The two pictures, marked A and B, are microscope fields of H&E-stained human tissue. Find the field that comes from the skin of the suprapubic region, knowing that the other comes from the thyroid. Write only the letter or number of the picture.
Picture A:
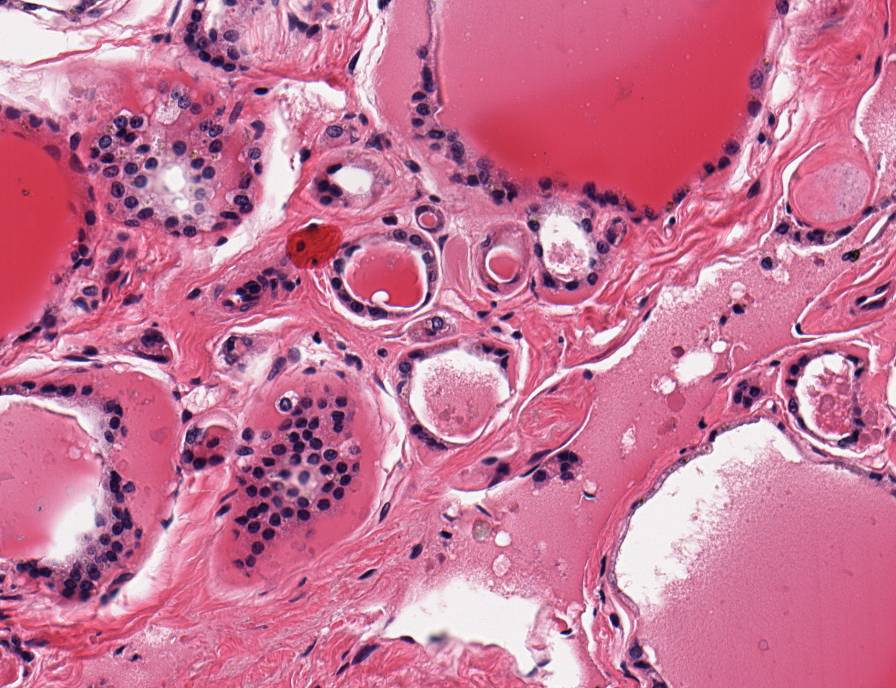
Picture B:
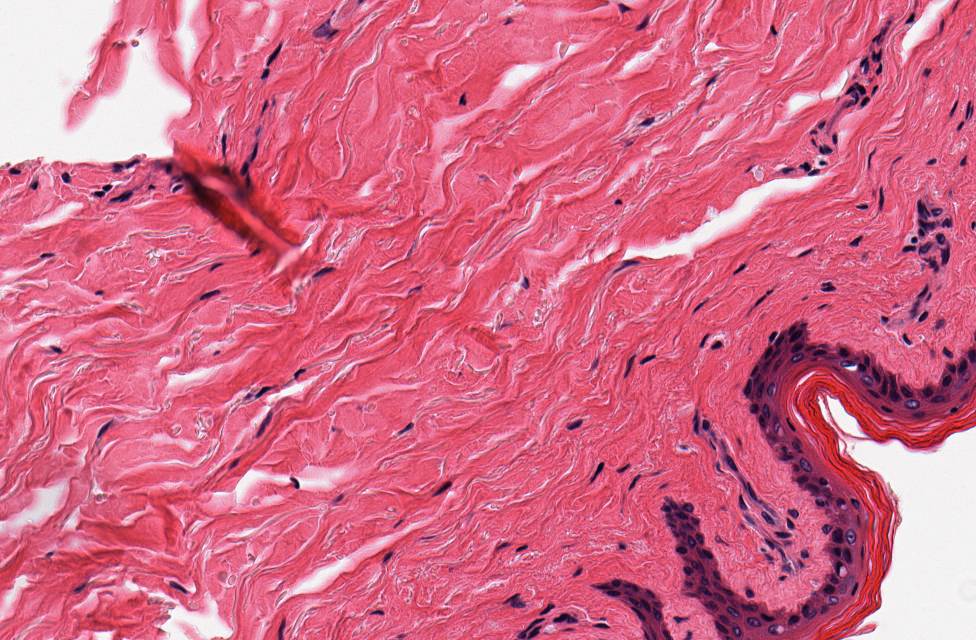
B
